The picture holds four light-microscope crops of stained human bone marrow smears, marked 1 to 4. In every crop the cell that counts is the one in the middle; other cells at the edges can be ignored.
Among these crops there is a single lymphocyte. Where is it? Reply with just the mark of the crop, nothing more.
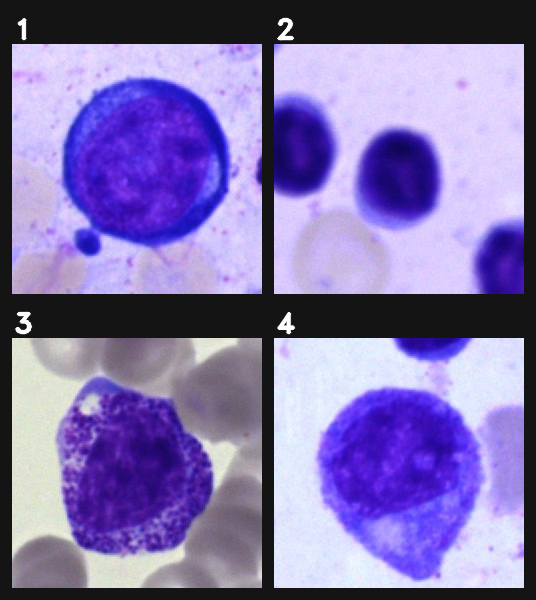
2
